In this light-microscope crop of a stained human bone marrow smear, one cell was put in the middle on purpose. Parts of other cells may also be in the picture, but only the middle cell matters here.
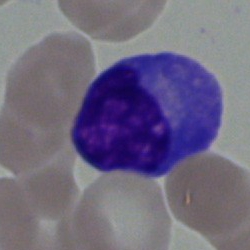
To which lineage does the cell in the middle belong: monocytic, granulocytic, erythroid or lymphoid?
lymphoid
